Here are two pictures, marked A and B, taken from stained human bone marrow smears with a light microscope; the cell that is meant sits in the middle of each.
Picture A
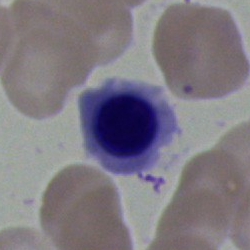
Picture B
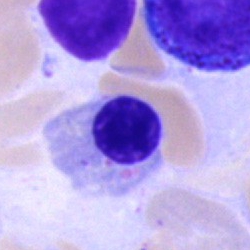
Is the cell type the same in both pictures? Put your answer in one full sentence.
Yes; the cells in both pictures are erythroblasts.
